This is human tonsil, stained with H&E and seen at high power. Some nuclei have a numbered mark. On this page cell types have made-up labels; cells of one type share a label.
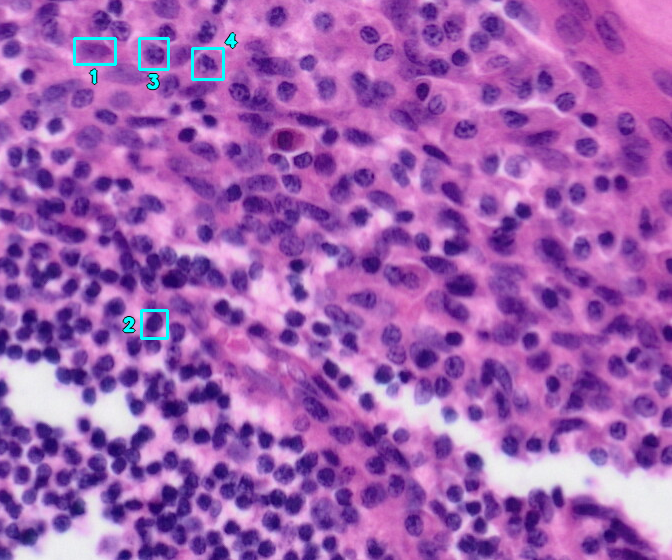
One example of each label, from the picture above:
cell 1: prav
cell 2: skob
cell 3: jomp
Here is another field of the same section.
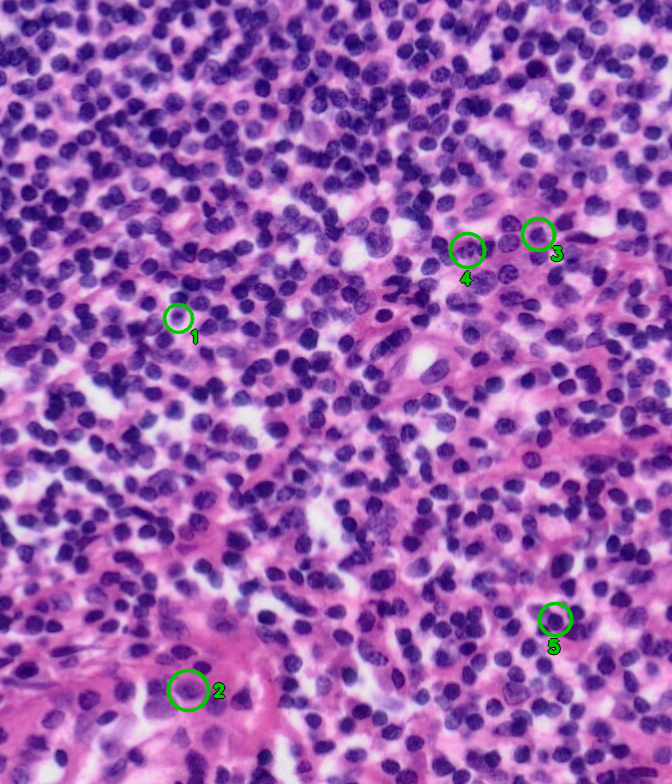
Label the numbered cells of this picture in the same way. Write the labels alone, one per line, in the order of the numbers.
skob
prav
jomp
jomp
skob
